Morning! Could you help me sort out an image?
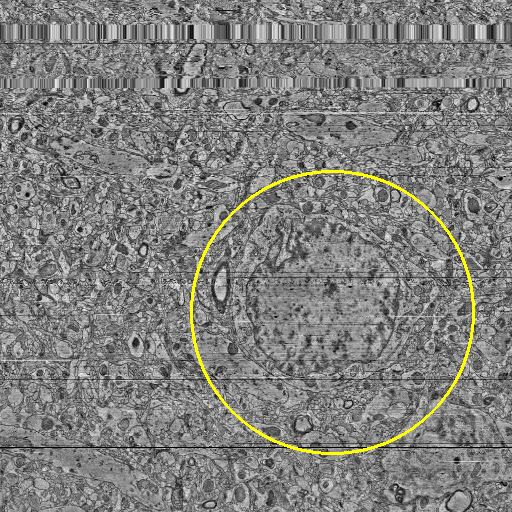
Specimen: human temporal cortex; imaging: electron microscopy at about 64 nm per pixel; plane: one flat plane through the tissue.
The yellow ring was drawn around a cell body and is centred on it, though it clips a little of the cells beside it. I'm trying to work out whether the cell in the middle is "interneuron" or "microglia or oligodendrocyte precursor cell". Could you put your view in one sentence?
The ringed cell body is that of an interneuron.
